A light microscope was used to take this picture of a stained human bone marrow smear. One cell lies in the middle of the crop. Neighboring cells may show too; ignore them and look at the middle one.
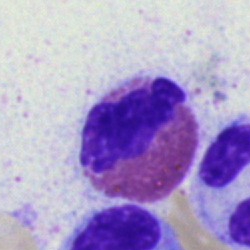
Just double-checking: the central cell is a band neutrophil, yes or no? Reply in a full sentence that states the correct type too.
No, the central cell is counted as an eosinophil instead of a band neutrophil.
